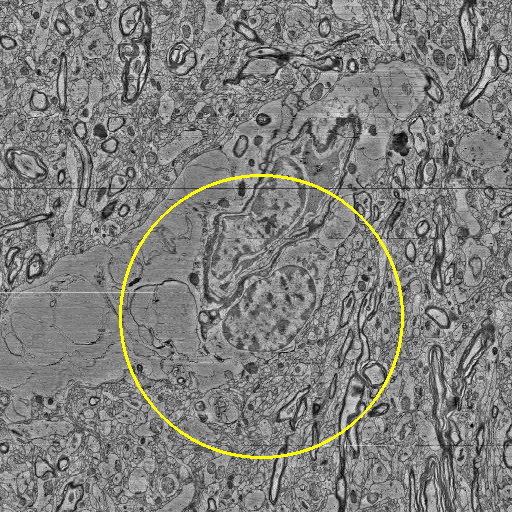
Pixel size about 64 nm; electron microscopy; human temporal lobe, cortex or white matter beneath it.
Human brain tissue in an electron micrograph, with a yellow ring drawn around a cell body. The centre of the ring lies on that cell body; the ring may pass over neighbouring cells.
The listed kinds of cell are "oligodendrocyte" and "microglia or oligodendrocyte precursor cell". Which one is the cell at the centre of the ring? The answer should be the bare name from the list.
microglia or oligodendrocyte precursor cell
